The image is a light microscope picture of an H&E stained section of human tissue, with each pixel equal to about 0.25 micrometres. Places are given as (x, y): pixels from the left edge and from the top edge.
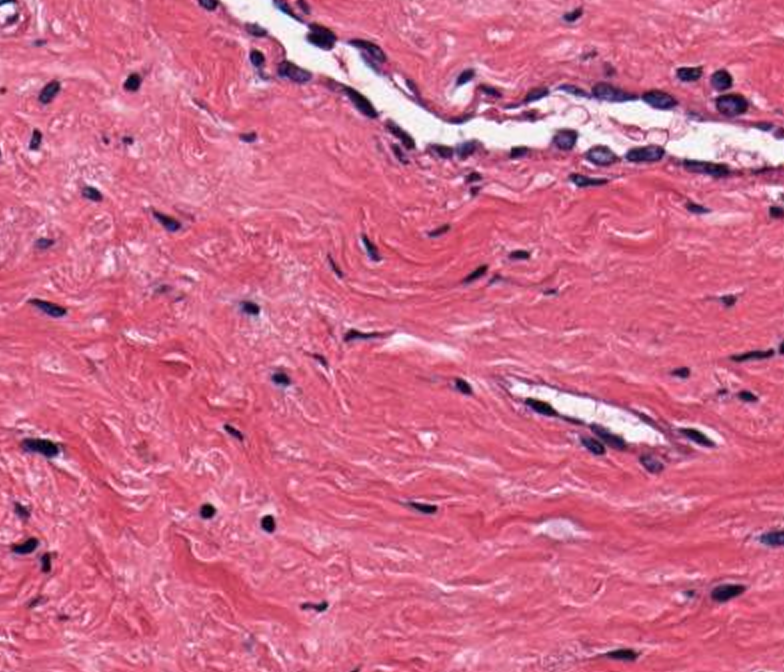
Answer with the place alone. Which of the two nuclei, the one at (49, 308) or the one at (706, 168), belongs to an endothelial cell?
(706, 168)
